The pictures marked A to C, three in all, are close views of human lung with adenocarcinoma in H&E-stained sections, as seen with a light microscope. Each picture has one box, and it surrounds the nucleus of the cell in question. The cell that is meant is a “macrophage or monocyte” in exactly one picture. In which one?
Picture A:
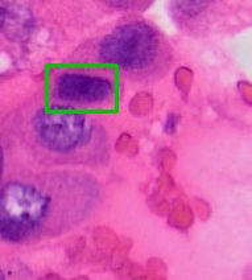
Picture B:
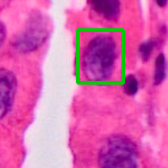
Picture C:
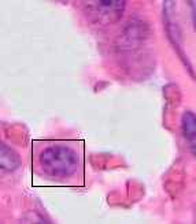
C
